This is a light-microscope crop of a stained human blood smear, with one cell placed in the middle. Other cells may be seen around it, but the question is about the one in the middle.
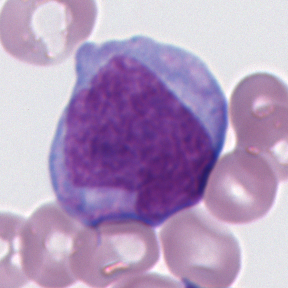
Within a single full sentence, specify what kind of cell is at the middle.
The cell around which this crop is centred is an atypical promyelocyte.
